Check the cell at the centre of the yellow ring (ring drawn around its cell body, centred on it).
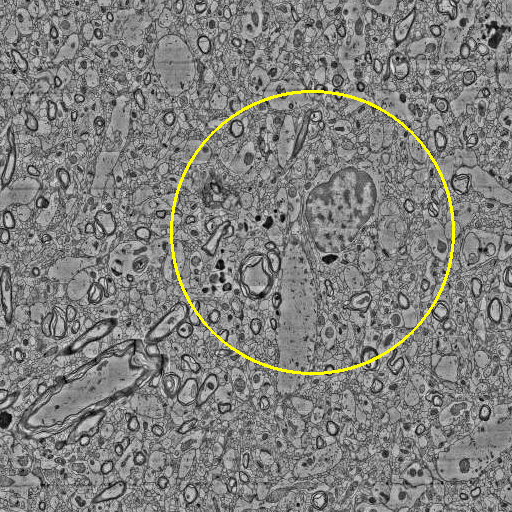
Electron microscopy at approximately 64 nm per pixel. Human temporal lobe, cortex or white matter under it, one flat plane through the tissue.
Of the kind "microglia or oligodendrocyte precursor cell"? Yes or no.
yes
